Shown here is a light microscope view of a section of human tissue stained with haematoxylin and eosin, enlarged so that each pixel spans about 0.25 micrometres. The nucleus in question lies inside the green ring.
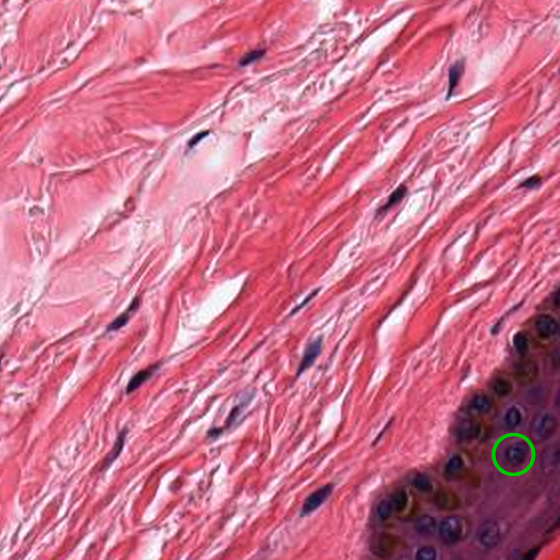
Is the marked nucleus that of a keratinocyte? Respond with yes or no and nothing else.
yes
